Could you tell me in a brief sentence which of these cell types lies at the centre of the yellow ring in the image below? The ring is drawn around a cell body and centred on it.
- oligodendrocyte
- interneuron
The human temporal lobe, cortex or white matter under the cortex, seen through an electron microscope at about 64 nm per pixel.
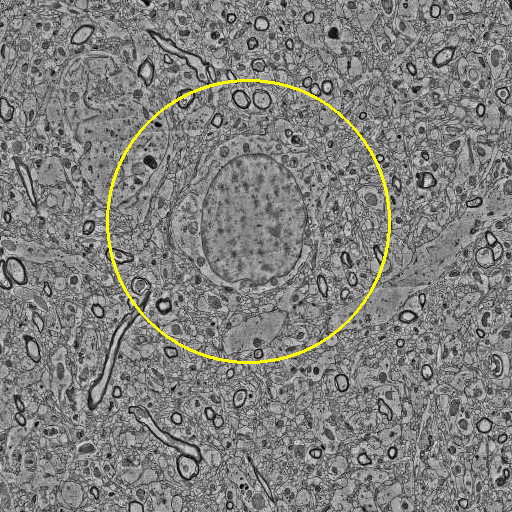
The cell centred in the ring is an interneuron.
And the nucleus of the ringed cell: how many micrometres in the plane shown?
About 8 micrometres by about 7 micrometres in this plane.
